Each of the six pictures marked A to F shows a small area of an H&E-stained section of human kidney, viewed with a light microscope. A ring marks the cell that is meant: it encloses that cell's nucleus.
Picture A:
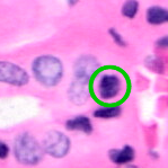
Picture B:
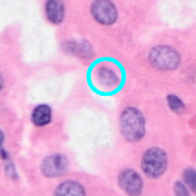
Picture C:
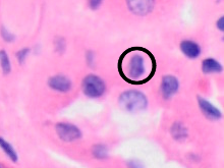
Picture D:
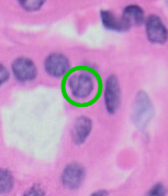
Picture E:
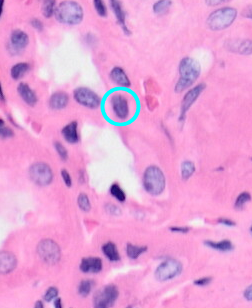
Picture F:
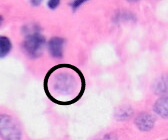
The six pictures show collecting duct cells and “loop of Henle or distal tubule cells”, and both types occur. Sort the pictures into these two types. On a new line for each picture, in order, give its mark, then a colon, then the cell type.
A: collecting duct cell
B: loop of Henle or distal tubule cell
C: loop of Henle or distal tubule cell
D: collecting duct cell
E: collecting duct cell
F: loop of Henle or distal tubule cell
